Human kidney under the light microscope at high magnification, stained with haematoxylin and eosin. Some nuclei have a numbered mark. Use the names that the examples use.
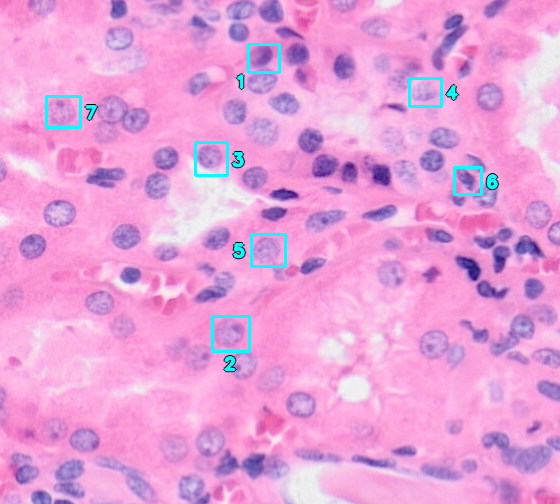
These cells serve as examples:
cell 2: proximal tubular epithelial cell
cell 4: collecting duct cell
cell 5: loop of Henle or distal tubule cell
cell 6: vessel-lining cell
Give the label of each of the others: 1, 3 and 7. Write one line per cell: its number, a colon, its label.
1: collecting duct cell
3: loop of Henle or distal tubule cell
7: proximal tubular epithelial cell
